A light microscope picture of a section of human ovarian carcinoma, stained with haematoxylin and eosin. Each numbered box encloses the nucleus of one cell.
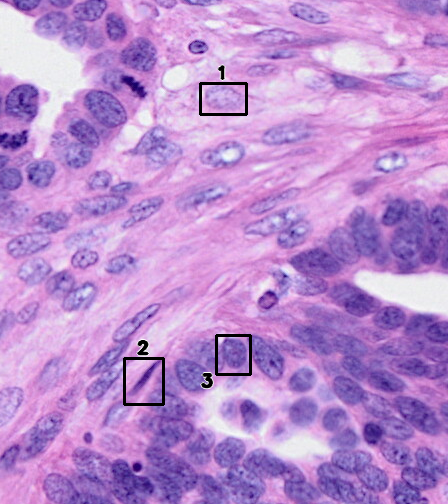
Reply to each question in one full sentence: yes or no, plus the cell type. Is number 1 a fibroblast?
Yes, the cell pointed out as number 1 is a fibroblast.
